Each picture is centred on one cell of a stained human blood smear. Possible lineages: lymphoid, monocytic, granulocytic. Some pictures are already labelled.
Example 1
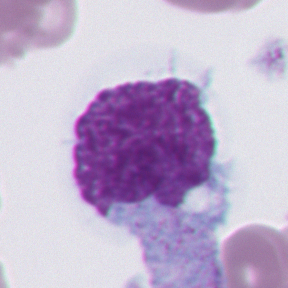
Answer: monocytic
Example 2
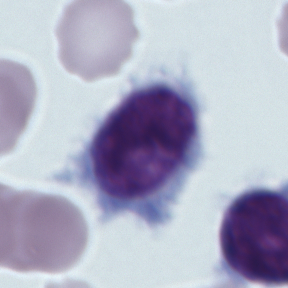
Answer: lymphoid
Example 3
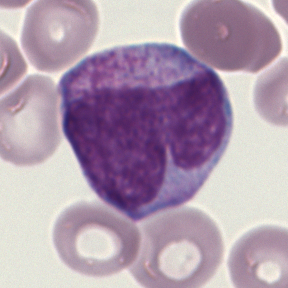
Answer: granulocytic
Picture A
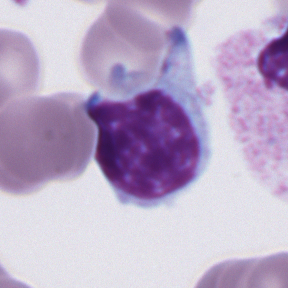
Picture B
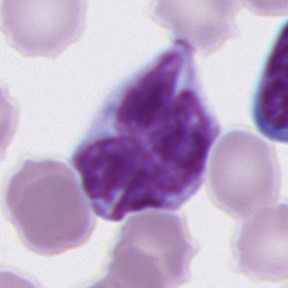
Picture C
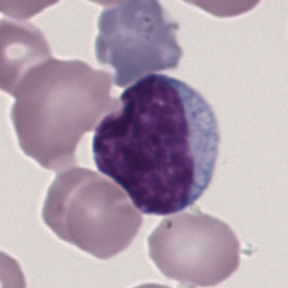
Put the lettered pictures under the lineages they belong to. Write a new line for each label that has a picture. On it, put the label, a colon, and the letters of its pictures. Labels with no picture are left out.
lymphoid: A, B, C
